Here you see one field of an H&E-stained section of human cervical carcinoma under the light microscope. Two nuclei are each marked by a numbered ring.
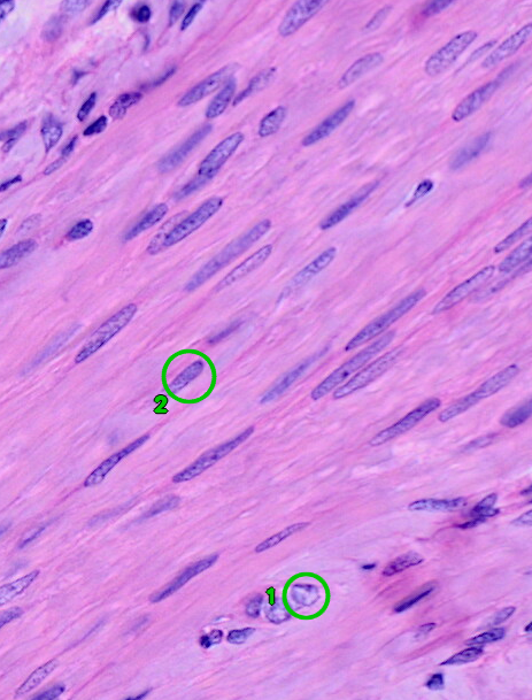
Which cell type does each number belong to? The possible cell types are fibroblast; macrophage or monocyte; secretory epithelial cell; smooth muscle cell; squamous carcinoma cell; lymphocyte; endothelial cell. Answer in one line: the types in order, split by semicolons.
endothelial cell; smooth muscle cell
